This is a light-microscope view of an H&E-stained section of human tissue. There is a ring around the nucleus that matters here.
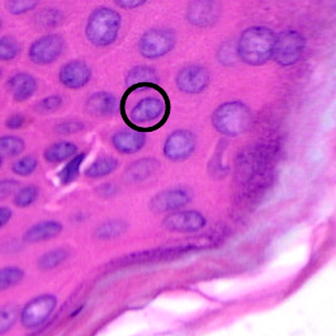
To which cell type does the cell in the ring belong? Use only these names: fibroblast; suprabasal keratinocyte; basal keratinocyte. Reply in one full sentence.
The cell in the ring appears to be a suprabasal keratinocyte.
